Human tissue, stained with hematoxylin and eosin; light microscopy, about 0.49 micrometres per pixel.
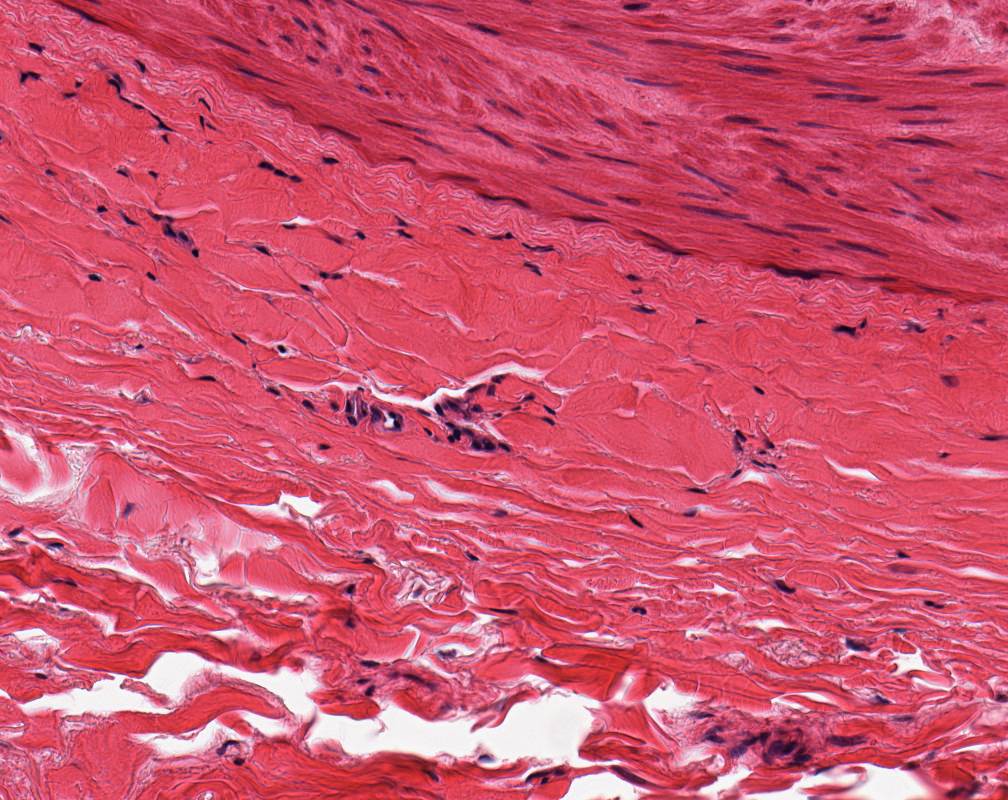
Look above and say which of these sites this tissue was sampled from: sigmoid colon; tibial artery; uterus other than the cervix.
tibial artery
